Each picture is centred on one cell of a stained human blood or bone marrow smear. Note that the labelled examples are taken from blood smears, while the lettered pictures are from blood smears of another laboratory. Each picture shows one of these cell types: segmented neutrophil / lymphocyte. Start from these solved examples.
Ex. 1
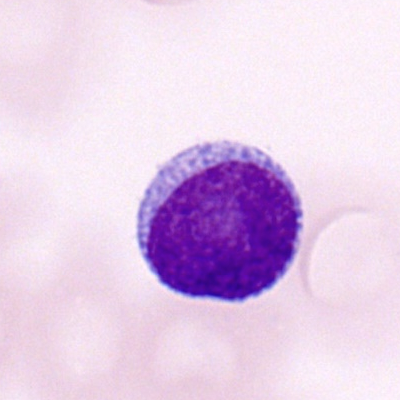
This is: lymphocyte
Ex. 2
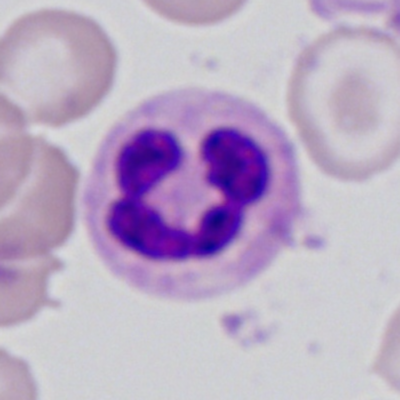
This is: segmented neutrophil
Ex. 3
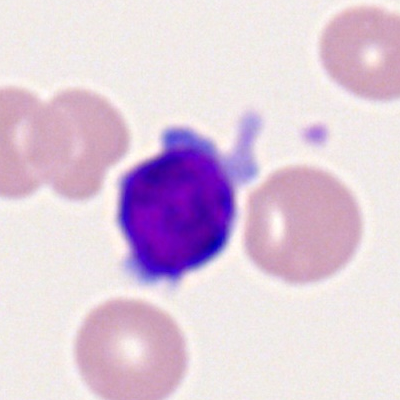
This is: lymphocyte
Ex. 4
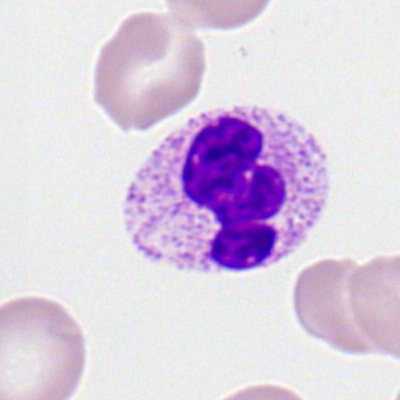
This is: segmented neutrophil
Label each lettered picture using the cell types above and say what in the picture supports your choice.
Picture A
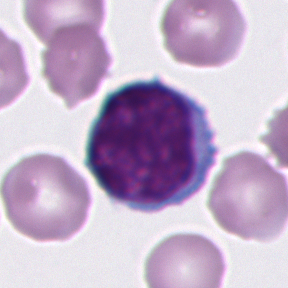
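Answer: lymphocyte. The cytoplasm is a thin rim that is pale blue.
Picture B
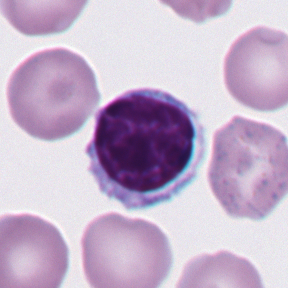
Answer: lymphocyte. The cytoplasm forms only a thin rim around the nucleus.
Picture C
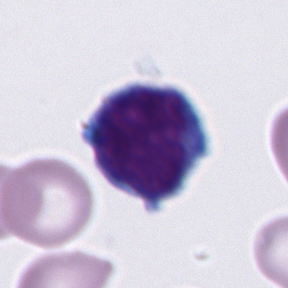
Answer: lymphocyte. Only a very thin rim of cytoplasm shows beside the nucleus.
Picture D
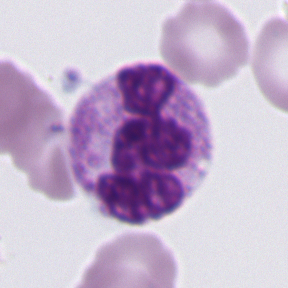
Answer: segmented neutrophil. The nucleus is divided into several lobes stacked from top to bottom.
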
